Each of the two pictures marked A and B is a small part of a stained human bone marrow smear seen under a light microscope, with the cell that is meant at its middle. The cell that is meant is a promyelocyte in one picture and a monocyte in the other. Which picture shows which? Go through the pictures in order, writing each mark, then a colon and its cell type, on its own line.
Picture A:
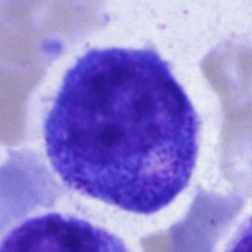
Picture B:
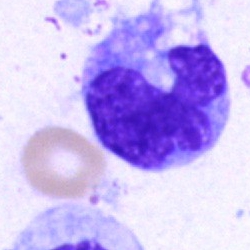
A: promyelocyte
B: monocyte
